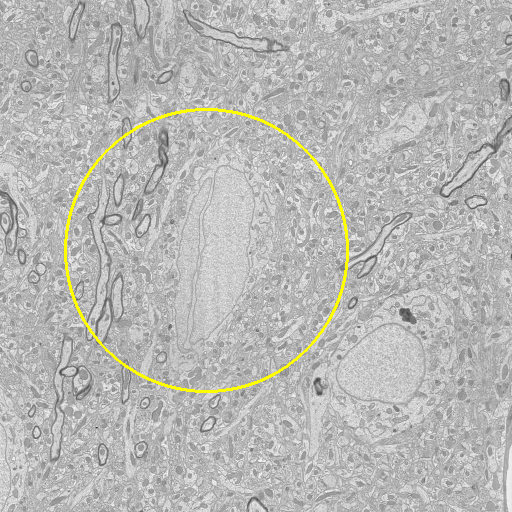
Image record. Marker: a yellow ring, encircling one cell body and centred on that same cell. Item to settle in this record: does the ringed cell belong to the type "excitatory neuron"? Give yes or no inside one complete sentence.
No, in the picture, the cell centred within the yellow ring is of a different type.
